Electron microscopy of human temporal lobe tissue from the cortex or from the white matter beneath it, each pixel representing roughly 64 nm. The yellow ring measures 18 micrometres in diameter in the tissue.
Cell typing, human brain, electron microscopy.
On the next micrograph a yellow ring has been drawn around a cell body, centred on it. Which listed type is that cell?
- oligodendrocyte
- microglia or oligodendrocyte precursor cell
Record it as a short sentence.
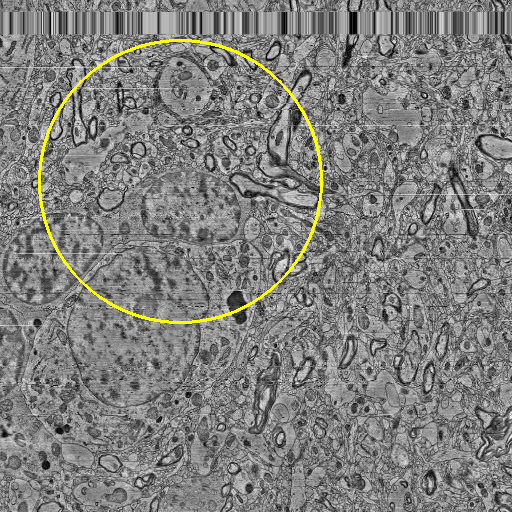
The cell body in the ring's centre belongs to an oligodendrocyte.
